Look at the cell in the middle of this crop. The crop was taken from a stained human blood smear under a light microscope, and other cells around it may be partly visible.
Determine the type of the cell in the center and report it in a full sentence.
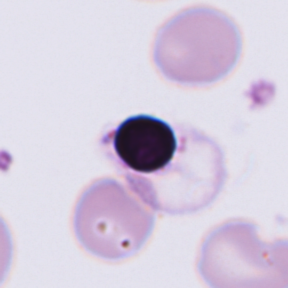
This crop's central cell is a normoblast.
